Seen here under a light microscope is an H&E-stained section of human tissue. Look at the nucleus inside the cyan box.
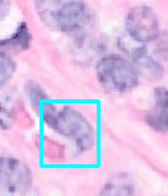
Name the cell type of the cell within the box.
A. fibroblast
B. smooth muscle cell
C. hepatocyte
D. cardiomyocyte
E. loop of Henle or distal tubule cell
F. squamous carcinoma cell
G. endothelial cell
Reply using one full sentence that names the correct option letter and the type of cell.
That the cell within the box is an endothelial cell makes option G the correct choice.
